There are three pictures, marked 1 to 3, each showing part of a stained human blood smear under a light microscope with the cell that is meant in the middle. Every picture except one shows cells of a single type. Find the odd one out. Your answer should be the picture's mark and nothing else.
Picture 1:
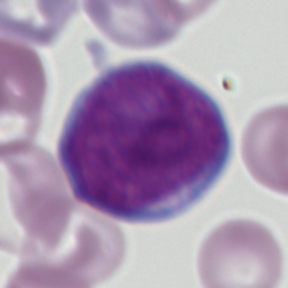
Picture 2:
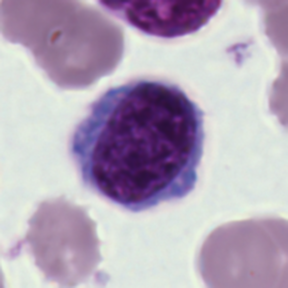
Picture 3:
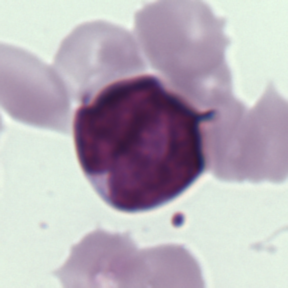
2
